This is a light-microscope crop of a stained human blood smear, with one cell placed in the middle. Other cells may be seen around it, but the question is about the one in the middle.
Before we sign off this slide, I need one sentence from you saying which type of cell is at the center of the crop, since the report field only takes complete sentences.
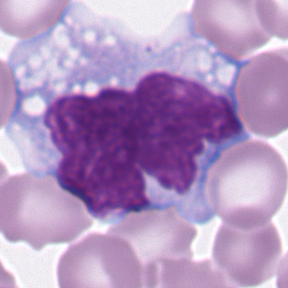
This particular crop is centered on a monocyte.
